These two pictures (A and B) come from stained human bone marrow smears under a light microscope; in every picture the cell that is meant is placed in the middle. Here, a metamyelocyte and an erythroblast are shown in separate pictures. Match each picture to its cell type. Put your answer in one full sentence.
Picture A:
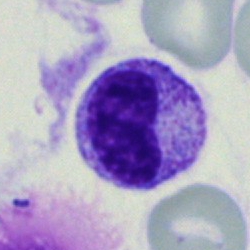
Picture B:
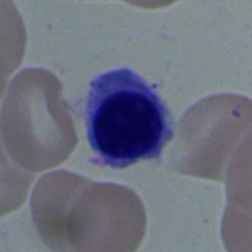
Picture B shows an erythroblast, while picture A shows a metamyelocyte.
